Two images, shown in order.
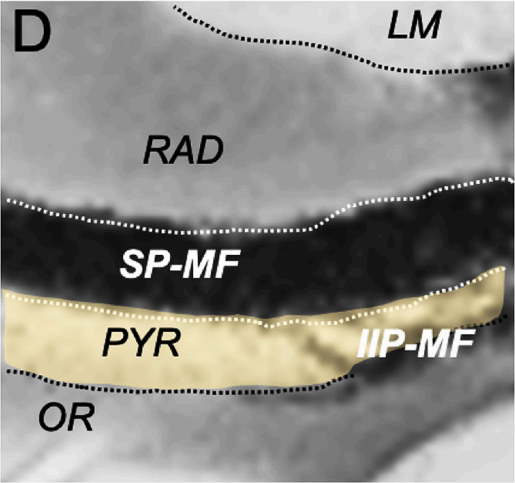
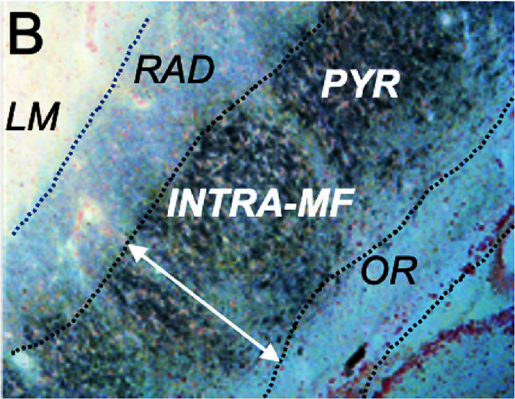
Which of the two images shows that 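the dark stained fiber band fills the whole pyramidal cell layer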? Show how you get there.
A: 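The second image. First image: a dense black band lies above a separate, paler yellow-shaded layer. Second image: a broad dark stippled band spans the layer between the dashed lines with no pale gap.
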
